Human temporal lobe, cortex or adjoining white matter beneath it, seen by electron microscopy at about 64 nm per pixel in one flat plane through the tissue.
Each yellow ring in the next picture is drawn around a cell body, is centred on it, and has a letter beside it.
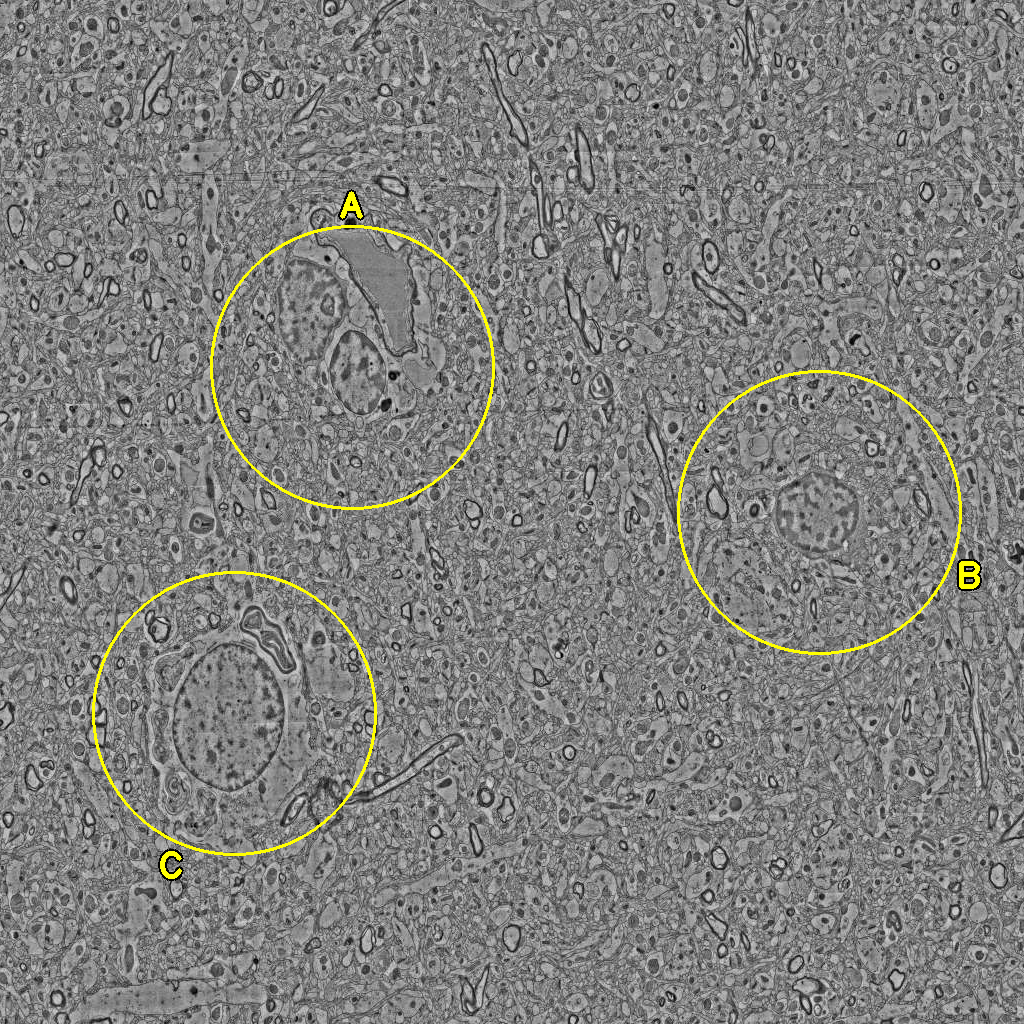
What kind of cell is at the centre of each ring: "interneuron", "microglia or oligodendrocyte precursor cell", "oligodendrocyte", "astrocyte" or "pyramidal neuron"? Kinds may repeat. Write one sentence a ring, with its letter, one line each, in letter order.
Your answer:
The centre of ring A falls on a microglial cell or oligodendrocyte precursor cell.
The centre of ring B falls on an oligodendrocyte.
The centre of ring C falls on an astrocyte.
